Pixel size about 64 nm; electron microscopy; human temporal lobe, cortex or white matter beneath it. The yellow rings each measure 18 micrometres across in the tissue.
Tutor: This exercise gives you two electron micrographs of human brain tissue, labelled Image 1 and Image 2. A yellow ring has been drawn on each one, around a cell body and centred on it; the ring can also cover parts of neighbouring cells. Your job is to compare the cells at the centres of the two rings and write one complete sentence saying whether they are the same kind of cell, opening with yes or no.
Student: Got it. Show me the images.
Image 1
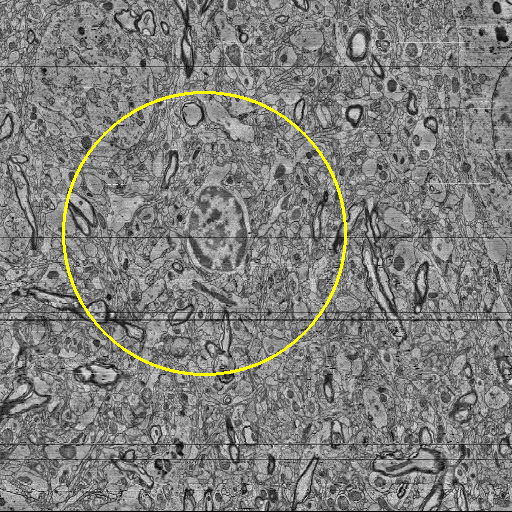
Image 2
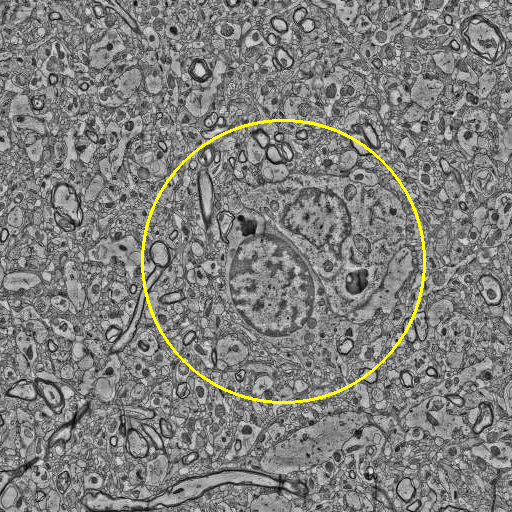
No, the two cells belong to two kinds.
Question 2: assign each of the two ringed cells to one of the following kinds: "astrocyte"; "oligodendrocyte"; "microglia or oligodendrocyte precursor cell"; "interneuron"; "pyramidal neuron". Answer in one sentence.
The two cells are a microglial cell or oligodendrocyte precursor cell in the first picture and an oligodendrocyte in the second.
